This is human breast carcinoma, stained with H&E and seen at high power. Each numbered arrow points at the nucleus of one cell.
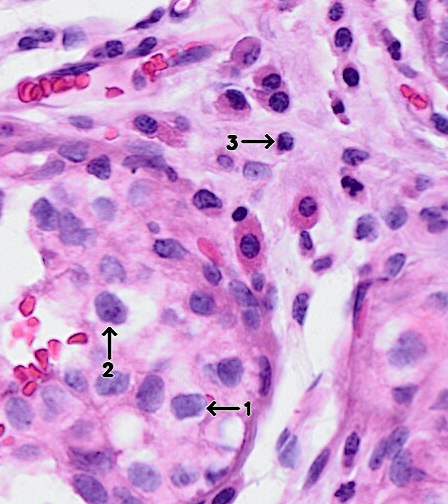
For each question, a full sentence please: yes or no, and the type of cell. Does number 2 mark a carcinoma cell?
Yes, the number 2 belongs to a carcinoma cell.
